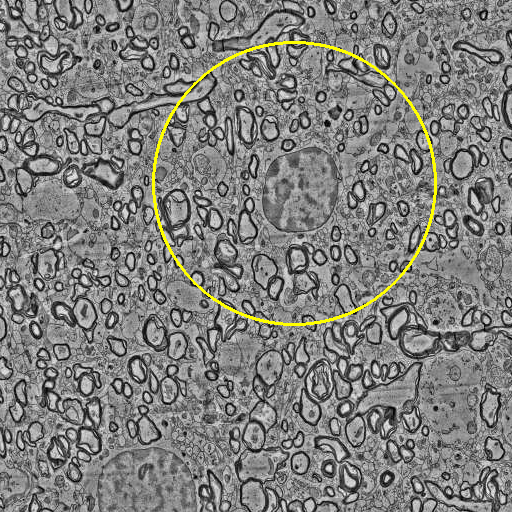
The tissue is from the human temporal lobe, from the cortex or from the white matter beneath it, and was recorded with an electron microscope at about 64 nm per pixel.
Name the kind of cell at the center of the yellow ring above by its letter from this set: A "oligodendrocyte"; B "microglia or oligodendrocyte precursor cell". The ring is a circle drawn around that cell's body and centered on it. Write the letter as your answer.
B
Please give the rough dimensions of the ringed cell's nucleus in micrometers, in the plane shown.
Approximately 6 micrometres long and 5 micrometres wide, in this plane.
